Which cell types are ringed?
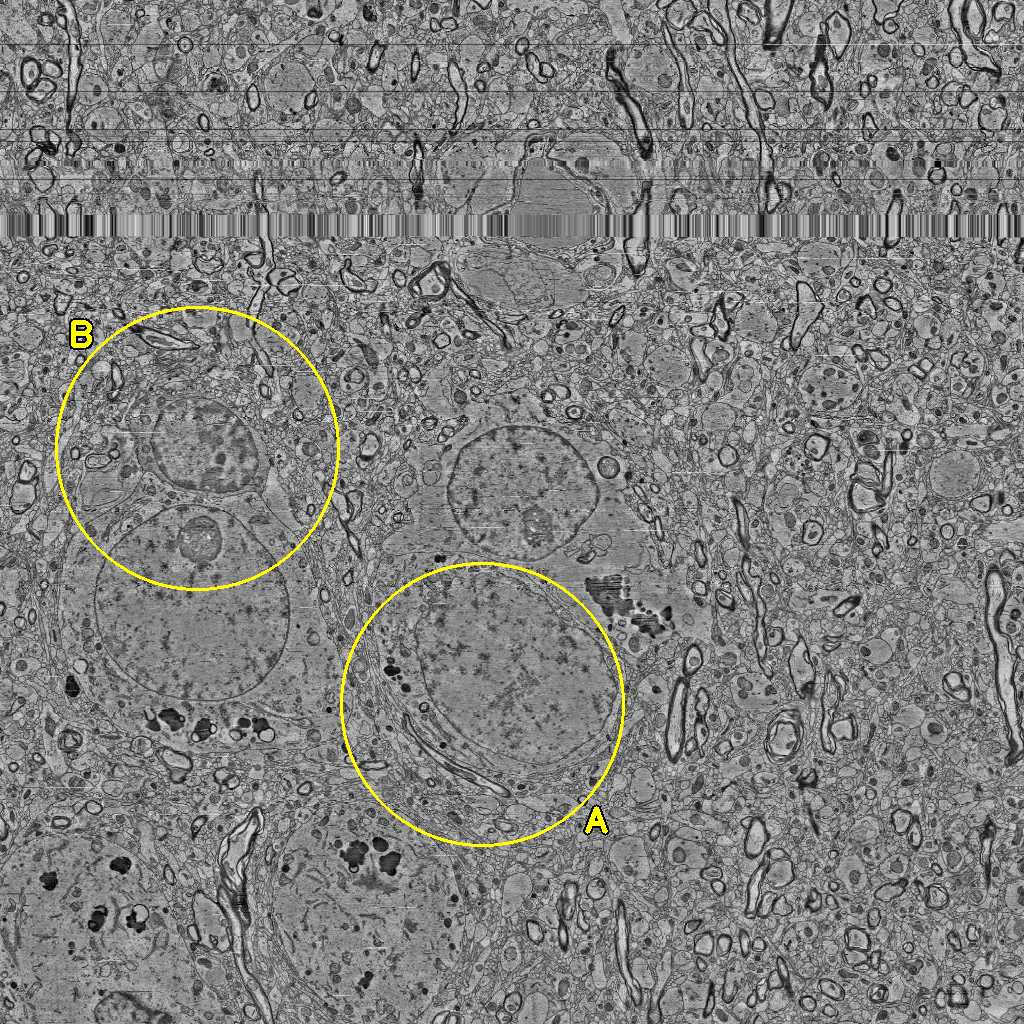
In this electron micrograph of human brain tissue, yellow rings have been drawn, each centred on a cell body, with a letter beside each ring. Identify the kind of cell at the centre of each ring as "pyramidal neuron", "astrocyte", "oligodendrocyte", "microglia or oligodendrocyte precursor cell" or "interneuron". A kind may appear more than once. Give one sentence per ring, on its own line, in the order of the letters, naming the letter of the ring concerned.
Ring A is drawn on a pyramidal neuron.
Ring B is drawn on an oligodendrocyte.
